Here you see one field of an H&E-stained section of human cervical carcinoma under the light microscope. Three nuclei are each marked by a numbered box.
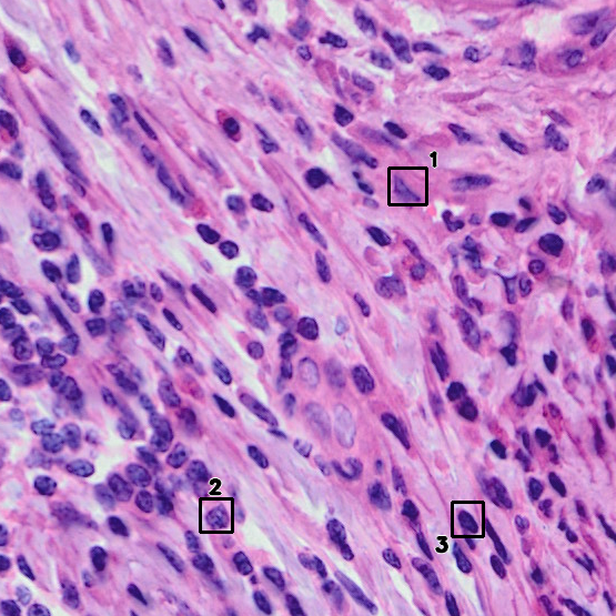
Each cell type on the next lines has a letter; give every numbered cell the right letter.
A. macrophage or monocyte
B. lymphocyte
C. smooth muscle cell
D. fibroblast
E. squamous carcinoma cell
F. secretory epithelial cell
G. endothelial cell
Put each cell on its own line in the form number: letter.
1: G
2: B
3: B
